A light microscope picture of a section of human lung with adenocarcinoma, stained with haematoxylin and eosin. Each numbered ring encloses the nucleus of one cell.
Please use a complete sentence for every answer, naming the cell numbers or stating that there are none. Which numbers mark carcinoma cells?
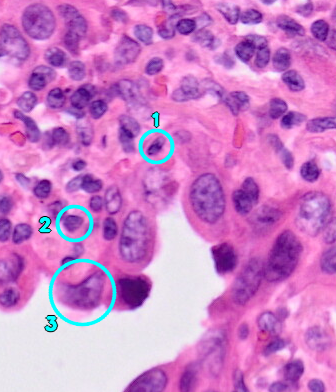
The one cell that is a carcinoma cell is cell 3, and no other.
